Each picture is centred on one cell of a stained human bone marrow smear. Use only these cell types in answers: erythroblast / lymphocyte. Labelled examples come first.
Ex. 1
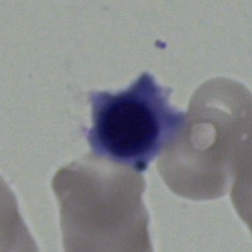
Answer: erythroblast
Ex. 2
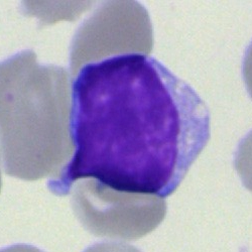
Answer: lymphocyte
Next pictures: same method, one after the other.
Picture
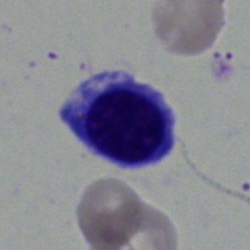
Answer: erythroblast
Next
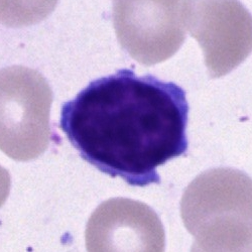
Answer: lymphocyte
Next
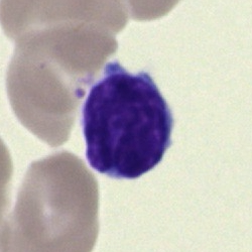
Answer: lymphocyte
